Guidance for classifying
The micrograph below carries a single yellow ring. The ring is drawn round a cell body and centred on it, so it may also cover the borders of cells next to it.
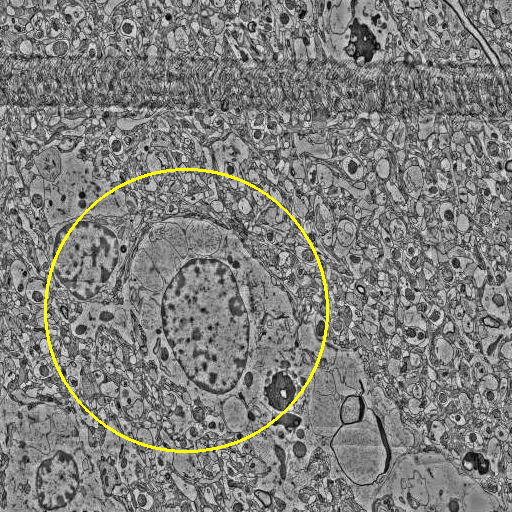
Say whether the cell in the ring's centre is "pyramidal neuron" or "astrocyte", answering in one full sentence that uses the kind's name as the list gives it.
Within the yellow ring, an astrocyte is the cell whose body sits at the centre.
